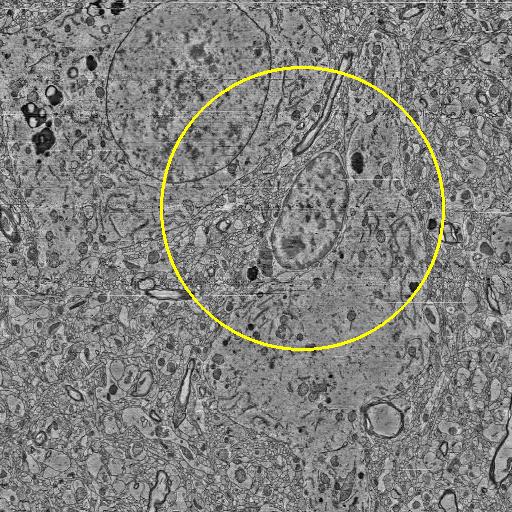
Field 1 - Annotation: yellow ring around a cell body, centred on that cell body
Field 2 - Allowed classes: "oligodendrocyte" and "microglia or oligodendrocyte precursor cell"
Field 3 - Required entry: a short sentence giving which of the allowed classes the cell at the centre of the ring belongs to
The centred cell is a microglial cell or oligodendrocyte precursor cell.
